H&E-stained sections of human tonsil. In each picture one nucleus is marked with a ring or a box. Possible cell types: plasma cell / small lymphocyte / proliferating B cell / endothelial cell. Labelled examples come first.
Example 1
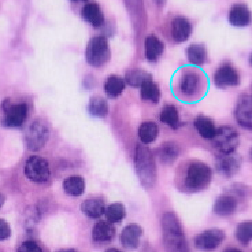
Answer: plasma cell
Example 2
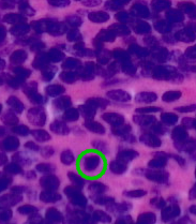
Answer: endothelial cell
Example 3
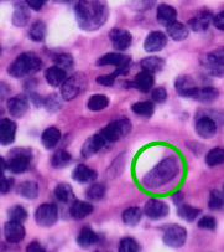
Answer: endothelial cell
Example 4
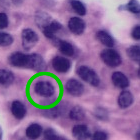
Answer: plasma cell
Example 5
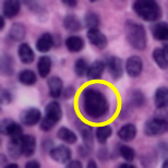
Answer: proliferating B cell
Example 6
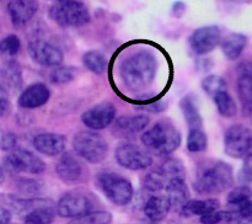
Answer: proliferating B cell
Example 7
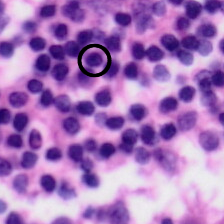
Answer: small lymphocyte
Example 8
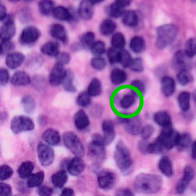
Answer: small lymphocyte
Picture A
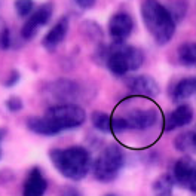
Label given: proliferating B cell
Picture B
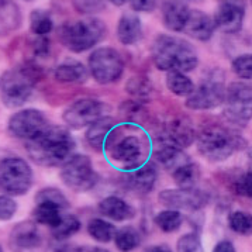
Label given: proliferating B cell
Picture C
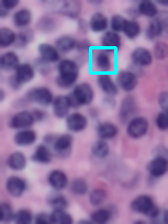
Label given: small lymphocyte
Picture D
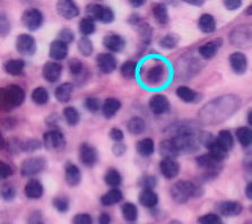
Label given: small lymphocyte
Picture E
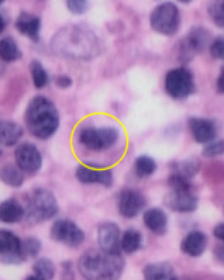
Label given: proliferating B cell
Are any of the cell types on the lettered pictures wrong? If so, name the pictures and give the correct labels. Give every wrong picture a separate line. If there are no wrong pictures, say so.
Wrong: D (small lymphocyte); correct: endothelial cell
